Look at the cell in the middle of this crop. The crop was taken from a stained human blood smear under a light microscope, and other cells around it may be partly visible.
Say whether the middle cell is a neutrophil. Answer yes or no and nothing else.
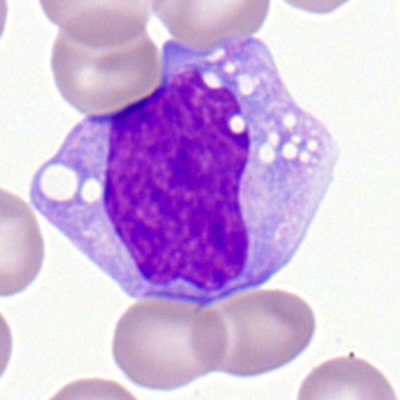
no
